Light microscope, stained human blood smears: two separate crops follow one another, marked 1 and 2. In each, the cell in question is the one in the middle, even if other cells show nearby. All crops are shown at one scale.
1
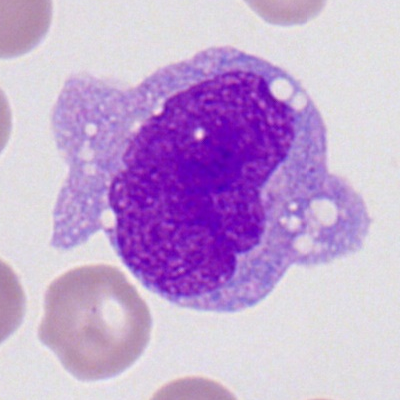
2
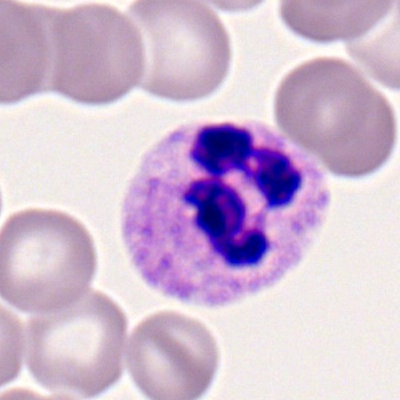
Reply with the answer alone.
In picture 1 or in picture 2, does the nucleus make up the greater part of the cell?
1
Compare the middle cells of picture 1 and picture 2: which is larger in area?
1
